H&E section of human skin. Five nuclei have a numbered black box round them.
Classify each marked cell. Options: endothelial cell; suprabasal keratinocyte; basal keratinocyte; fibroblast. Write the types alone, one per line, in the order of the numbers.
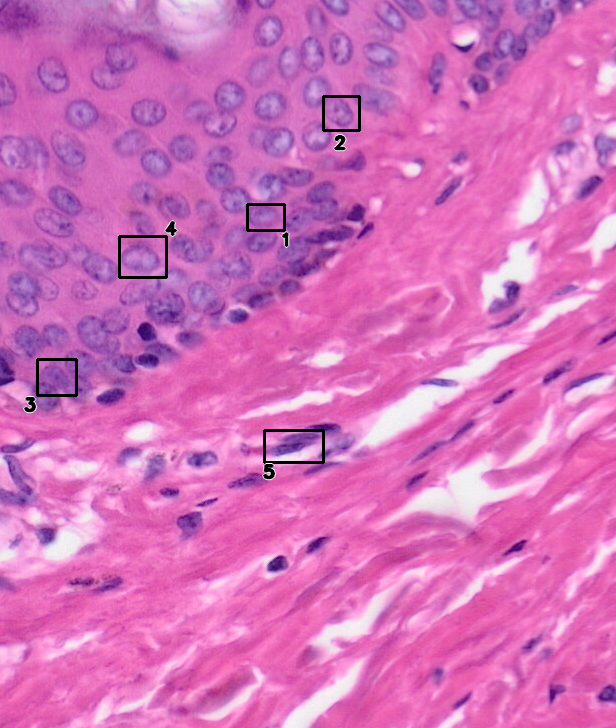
suprabasal keratinocyte
suprabasal keratinocyte
basal keratinocyte
suprabasal keratinocyte
endothelial cell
